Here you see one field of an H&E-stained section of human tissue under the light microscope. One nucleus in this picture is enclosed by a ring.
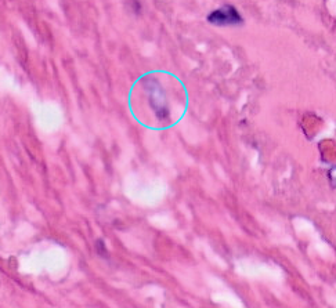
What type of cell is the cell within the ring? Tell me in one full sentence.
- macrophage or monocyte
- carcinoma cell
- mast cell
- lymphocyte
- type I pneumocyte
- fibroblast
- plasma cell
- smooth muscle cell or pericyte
In this section of tissue, the cell within the ring is a smooth muscle cell or pericyte.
